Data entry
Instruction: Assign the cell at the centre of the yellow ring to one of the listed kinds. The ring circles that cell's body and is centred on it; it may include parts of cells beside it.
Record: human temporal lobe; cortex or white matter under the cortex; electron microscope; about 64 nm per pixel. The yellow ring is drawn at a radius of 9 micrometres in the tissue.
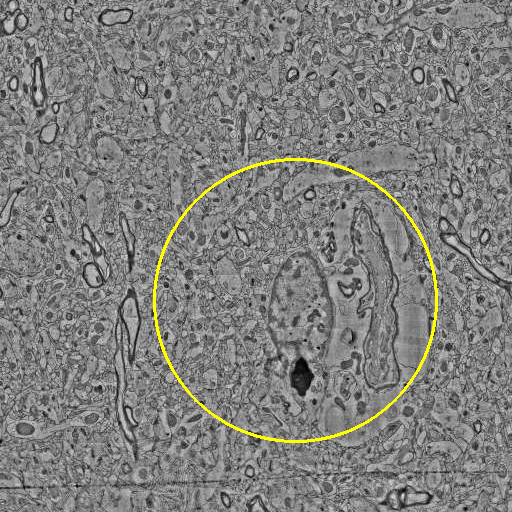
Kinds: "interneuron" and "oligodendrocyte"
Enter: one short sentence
The centre of the ring falls on an oligodendrocyte.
